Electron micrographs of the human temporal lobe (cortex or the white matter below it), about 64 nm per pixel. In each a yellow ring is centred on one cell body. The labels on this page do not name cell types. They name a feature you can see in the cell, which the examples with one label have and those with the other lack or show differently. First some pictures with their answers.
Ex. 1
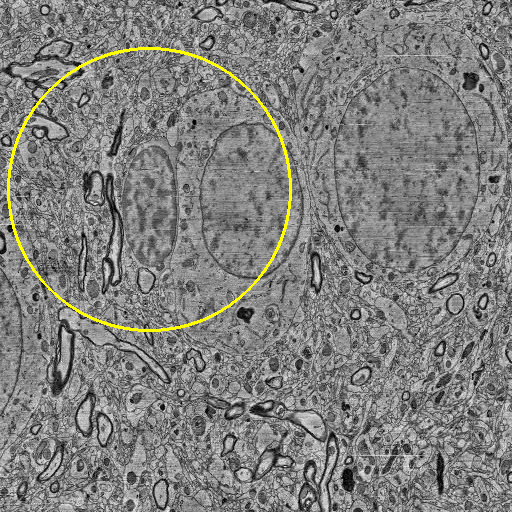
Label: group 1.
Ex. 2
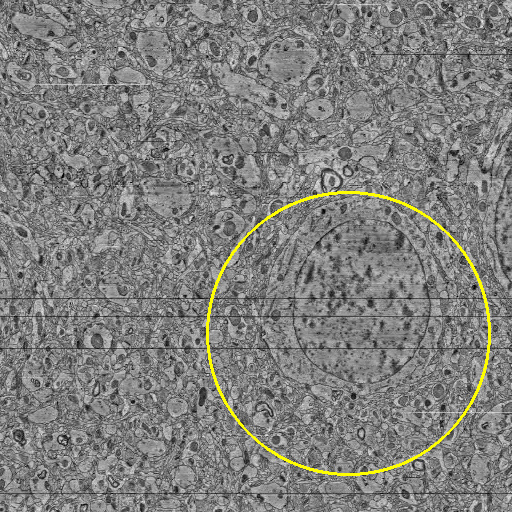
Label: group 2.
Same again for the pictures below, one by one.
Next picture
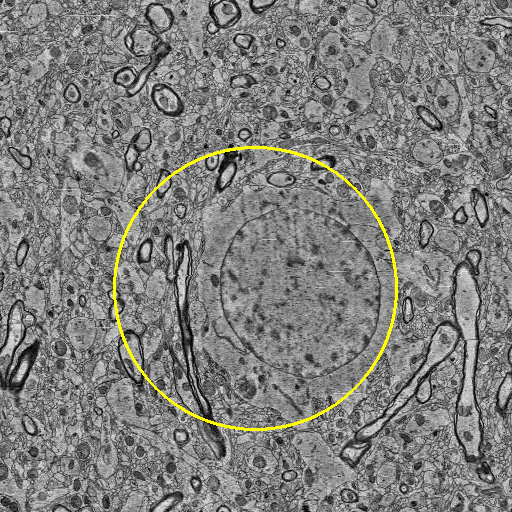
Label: group 2.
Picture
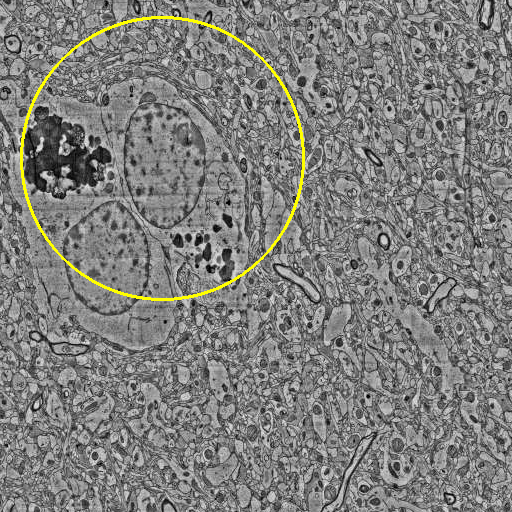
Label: group 1.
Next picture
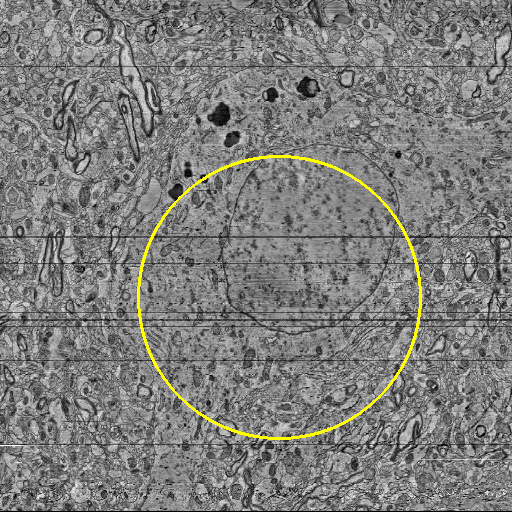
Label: group 2.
